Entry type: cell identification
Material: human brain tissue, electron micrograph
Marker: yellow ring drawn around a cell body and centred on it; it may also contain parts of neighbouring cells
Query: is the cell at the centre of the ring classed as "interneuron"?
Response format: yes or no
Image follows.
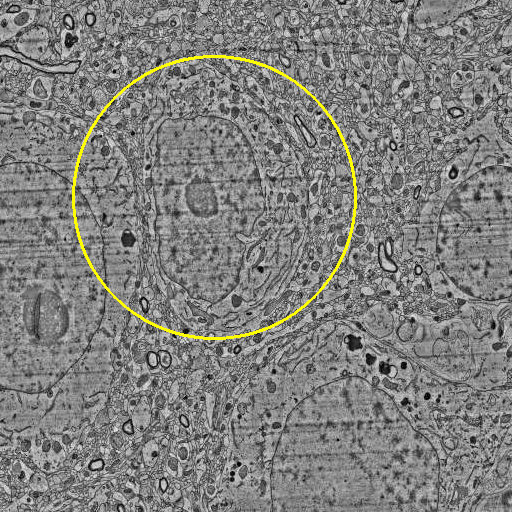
yes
